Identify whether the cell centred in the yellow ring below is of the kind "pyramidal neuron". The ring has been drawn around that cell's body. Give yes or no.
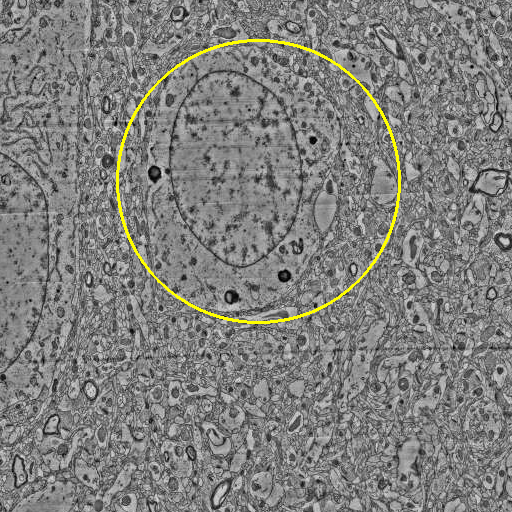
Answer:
yes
